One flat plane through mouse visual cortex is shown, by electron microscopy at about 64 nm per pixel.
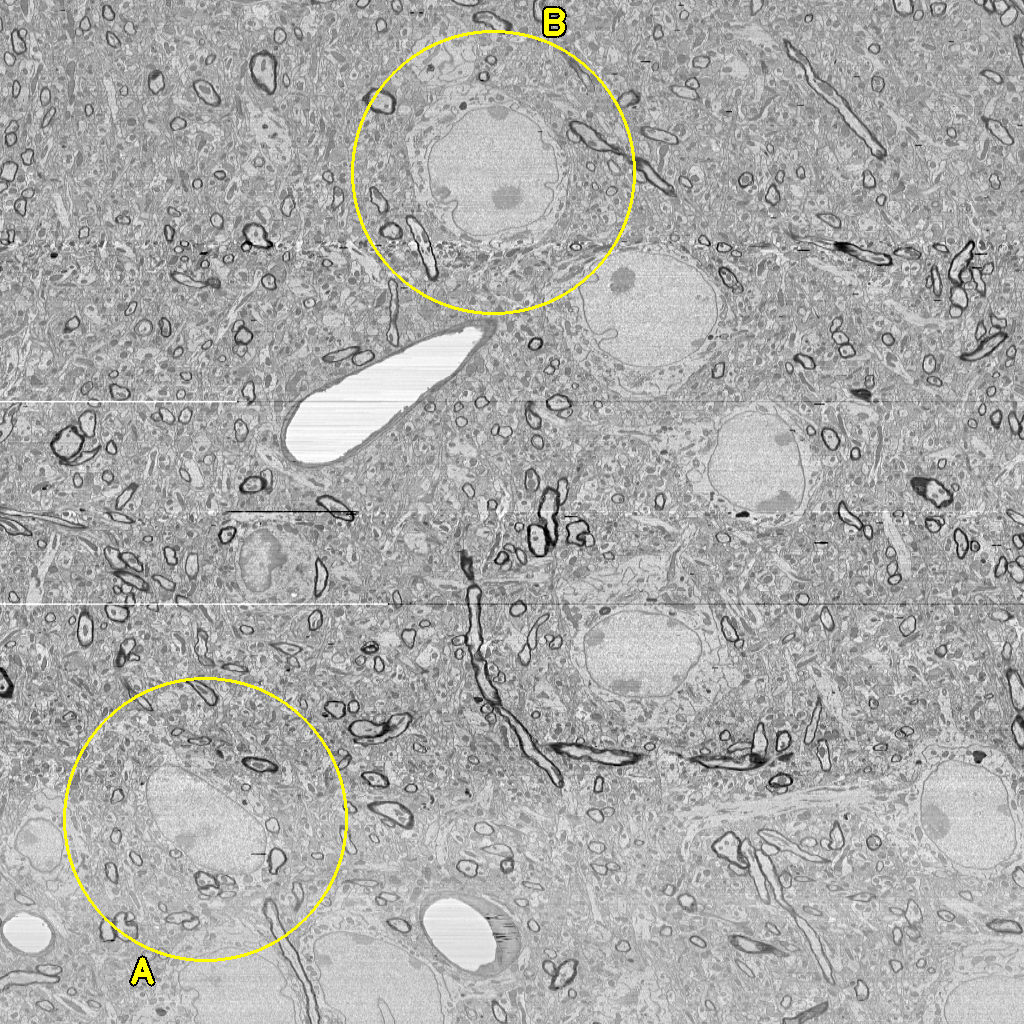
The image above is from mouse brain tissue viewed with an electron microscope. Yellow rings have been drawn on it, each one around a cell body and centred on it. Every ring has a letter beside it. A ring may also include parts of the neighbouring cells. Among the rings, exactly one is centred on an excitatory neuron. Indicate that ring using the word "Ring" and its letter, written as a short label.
Ring B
